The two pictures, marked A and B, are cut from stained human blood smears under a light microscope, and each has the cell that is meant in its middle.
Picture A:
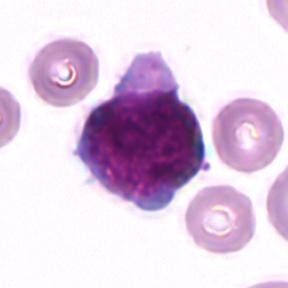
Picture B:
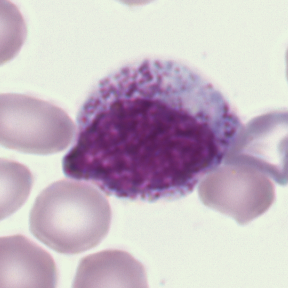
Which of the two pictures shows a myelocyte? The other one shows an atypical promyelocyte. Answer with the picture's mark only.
B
